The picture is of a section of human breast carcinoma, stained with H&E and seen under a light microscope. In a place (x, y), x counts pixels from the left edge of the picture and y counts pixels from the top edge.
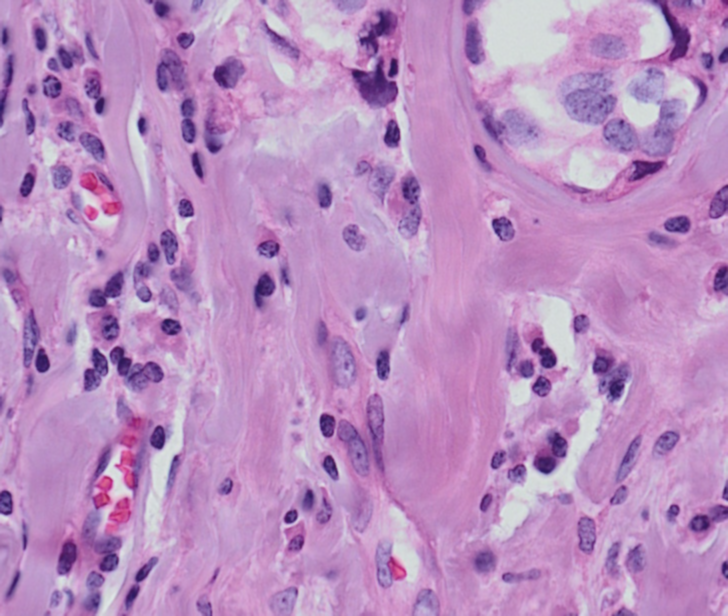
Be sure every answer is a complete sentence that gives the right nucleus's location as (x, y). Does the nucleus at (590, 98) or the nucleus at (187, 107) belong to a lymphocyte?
The nucleus at (187, 107) belongs to a lymphocyte, which distinguishes it from the other nucleus.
